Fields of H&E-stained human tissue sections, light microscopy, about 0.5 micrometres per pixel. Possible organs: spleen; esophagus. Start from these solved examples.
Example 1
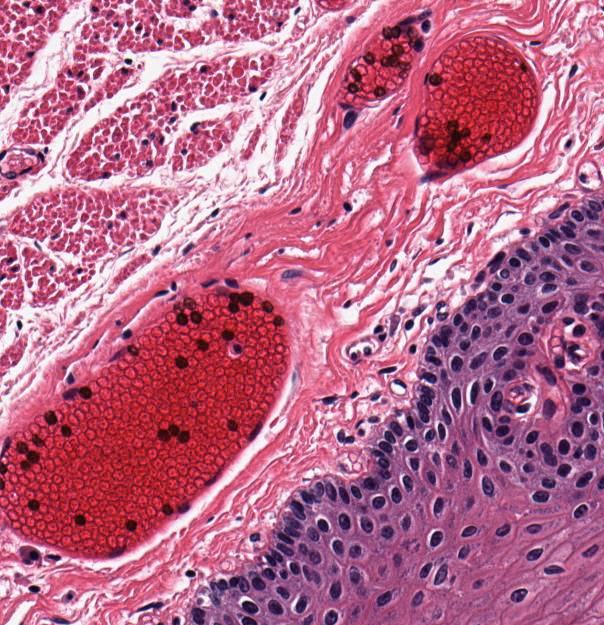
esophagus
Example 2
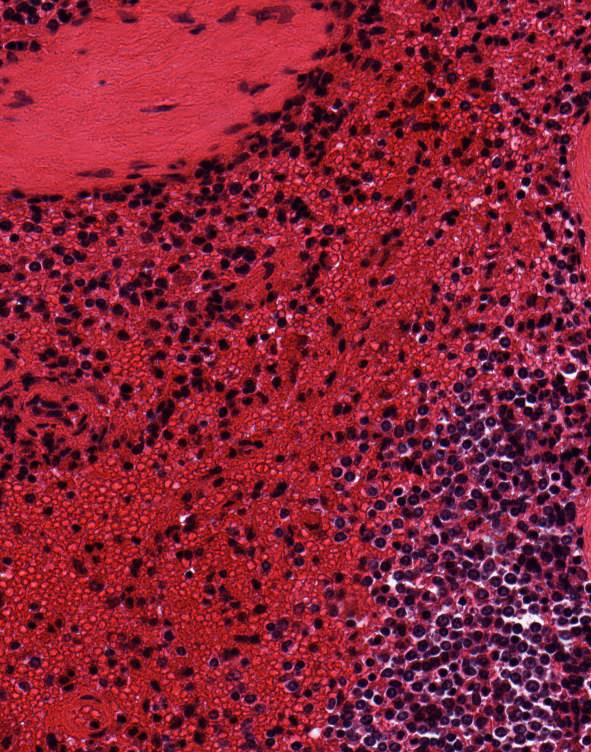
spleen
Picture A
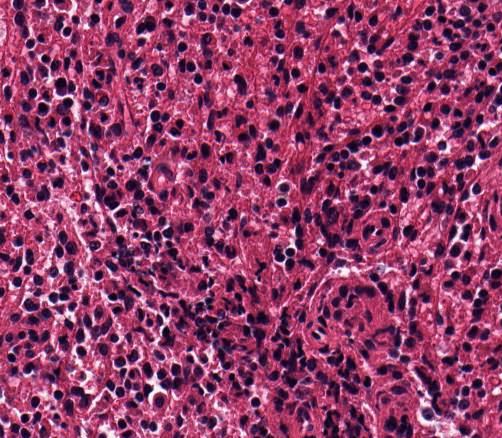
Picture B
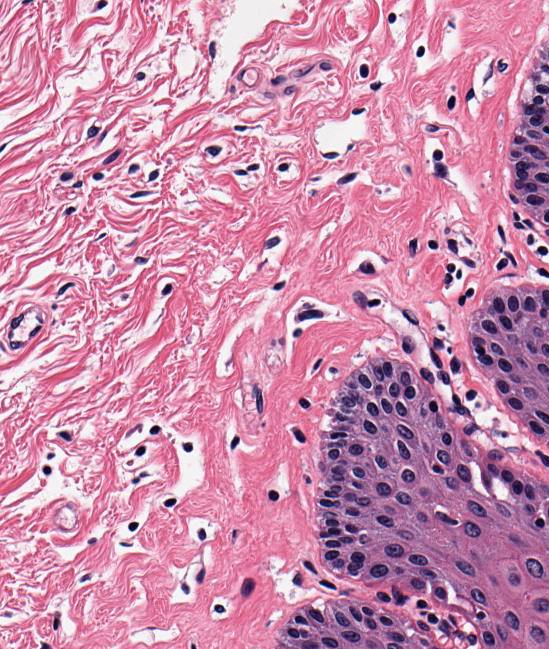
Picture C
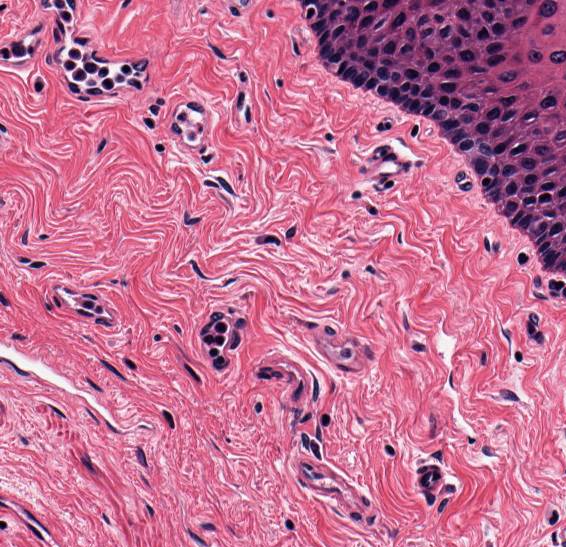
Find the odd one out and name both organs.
Picture A: spleen. All others: esophagus.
